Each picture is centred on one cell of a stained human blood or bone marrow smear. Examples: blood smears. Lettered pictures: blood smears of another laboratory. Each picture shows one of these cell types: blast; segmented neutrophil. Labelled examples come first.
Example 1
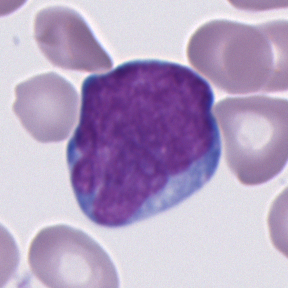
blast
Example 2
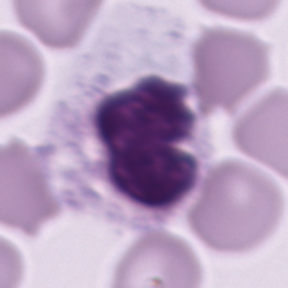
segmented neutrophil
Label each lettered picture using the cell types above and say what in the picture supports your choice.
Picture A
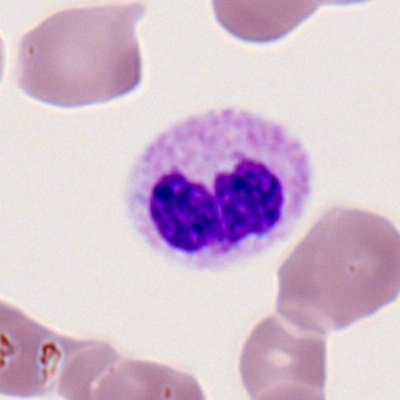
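segmented neutrophil. Evidence: The nucleus is split into two lobes lying side by side.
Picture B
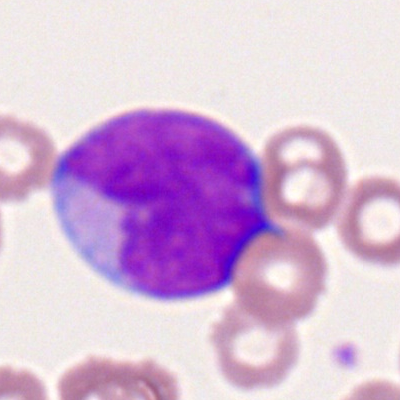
blast. Evidence: The nucleus fills most of the cell, leaving little cytoplasm.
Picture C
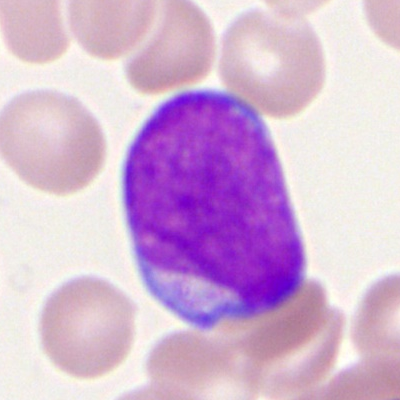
blast. Evidence: The cytoplasm is scant, forming only a thin rim around most of the nucleus.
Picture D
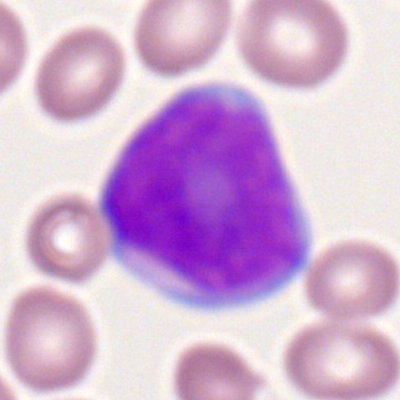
blast. Evidence: The nucleus fills almost the whole cell.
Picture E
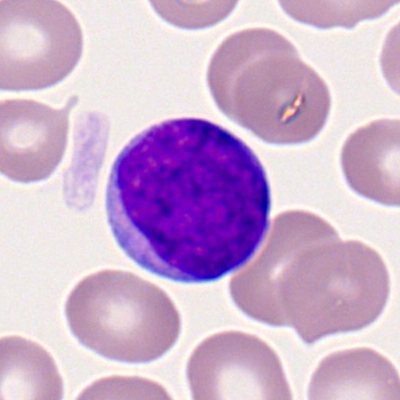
blast. Evidence: The nucleus fills most of the cell.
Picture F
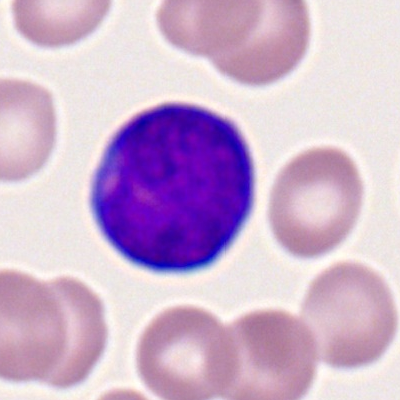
blast. Evidence: The nucleus fills almost the whole cell.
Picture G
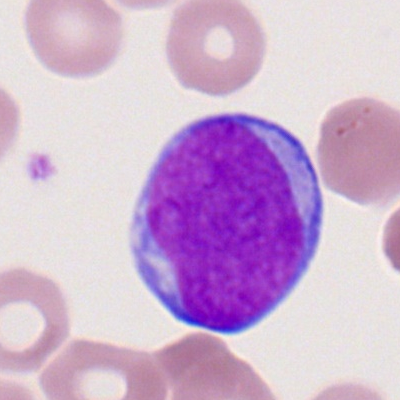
blast. Evidence: The cytoplasm is a scant rim compared with the large nucleus.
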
